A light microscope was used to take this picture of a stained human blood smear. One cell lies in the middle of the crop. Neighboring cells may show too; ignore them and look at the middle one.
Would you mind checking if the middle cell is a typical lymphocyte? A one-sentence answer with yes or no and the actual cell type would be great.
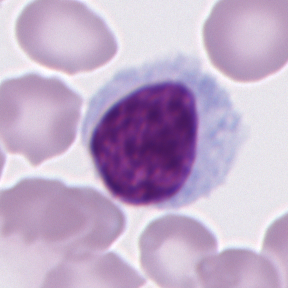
No, the centre of the crop contains a hairy cell rather than a typical lymphocyte.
